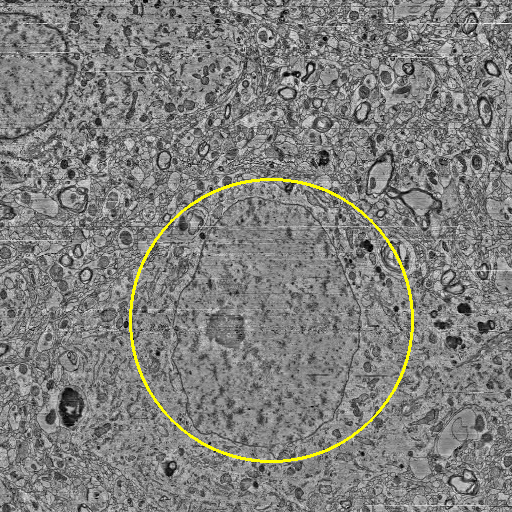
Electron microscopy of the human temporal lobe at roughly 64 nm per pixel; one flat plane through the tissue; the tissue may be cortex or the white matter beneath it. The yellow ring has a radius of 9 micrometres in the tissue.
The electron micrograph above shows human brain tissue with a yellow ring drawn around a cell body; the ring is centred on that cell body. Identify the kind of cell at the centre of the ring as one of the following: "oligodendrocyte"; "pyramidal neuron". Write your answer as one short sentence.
The cell at the centre of the ring is a pyramidal neuron.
